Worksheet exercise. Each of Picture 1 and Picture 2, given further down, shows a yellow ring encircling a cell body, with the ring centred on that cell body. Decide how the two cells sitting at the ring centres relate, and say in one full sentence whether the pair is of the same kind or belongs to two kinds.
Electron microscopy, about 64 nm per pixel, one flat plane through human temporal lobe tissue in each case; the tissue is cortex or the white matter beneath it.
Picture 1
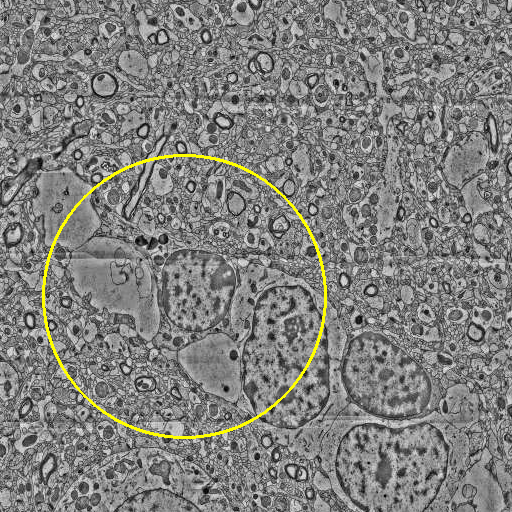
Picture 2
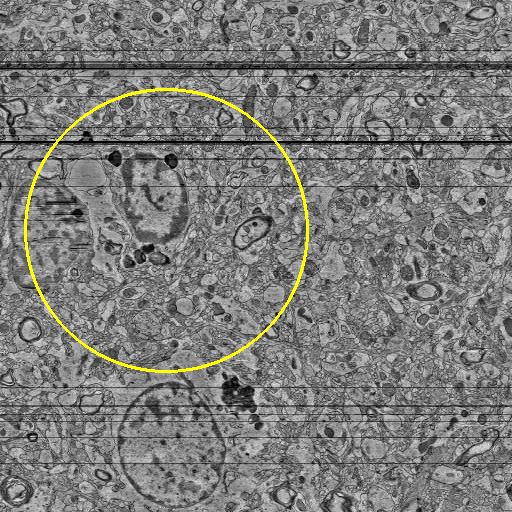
The cells at the ring centres in Picture 1 and Picture 2 are of the same kind.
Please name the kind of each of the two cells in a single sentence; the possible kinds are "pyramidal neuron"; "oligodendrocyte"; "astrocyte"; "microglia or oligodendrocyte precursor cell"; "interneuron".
Each of the two rings surrounds a microglial cell or oligodendrocyte precursor cell.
